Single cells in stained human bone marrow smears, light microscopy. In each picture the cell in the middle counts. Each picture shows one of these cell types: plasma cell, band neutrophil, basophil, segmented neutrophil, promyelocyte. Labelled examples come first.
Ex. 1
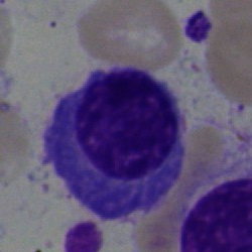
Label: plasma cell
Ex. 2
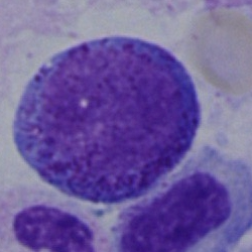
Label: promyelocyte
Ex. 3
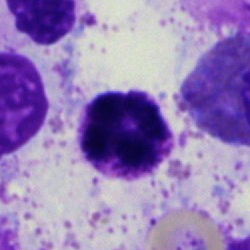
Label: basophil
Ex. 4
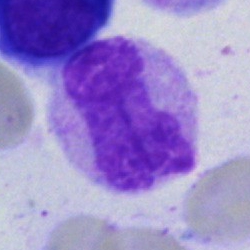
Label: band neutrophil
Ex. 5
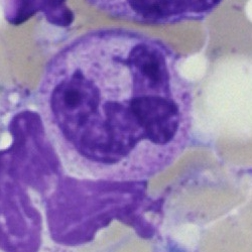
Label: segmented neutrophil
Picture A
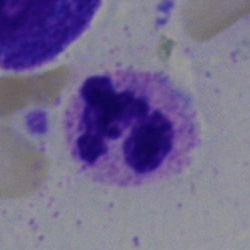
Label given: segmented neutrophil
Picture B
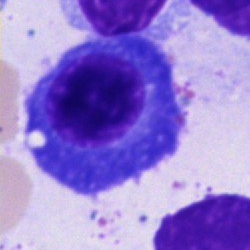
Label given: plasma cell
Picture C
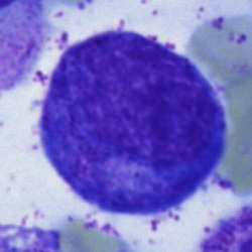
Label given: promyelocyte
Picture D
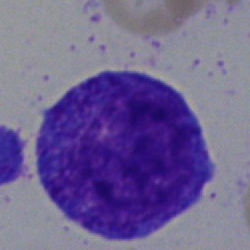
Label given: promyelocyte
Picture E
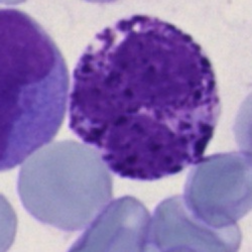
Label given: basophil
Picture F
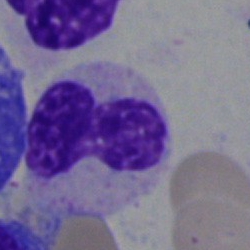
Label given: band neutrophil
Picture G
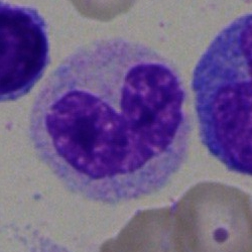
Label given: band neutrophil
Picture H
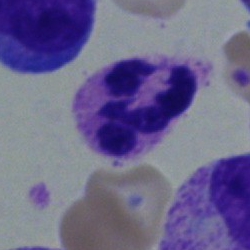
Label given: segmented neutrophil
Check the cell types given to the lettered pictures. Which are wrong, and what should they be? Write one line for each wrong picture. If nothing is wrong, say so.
None of the labels needs changing.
